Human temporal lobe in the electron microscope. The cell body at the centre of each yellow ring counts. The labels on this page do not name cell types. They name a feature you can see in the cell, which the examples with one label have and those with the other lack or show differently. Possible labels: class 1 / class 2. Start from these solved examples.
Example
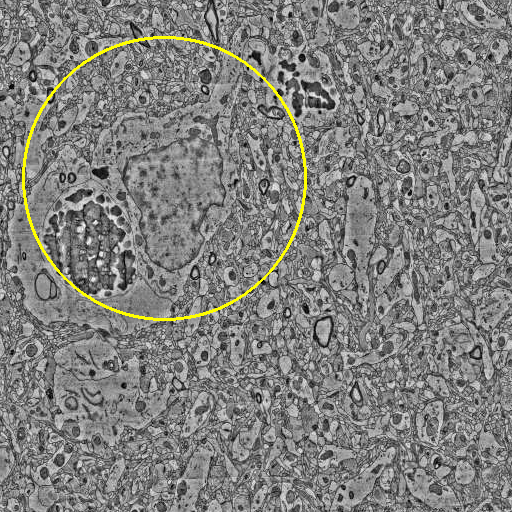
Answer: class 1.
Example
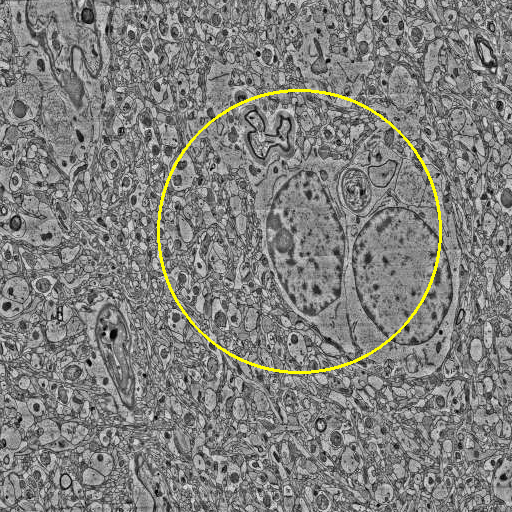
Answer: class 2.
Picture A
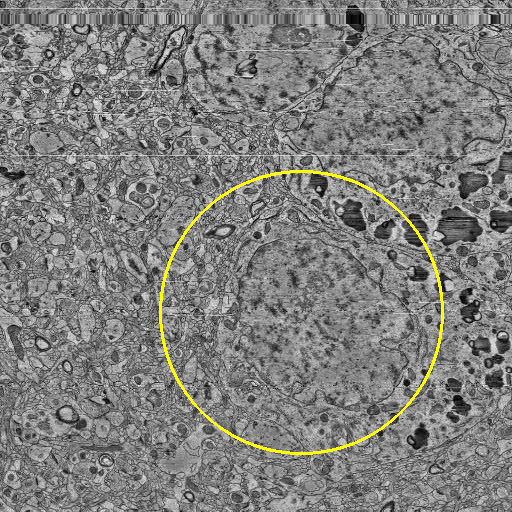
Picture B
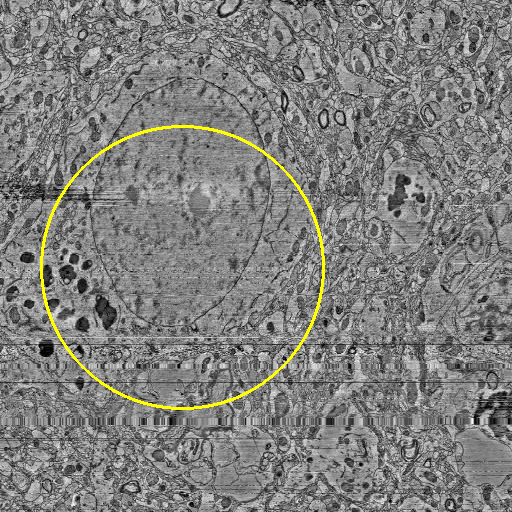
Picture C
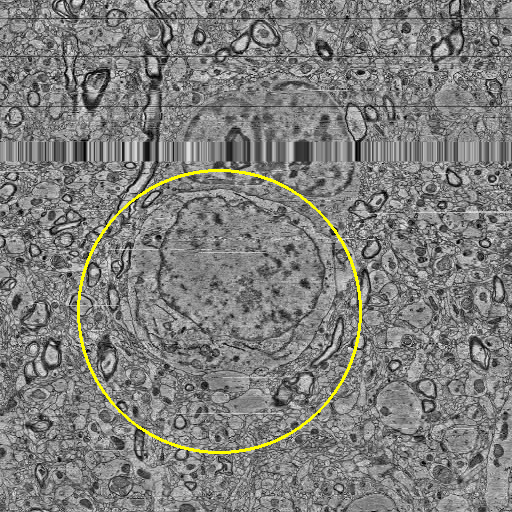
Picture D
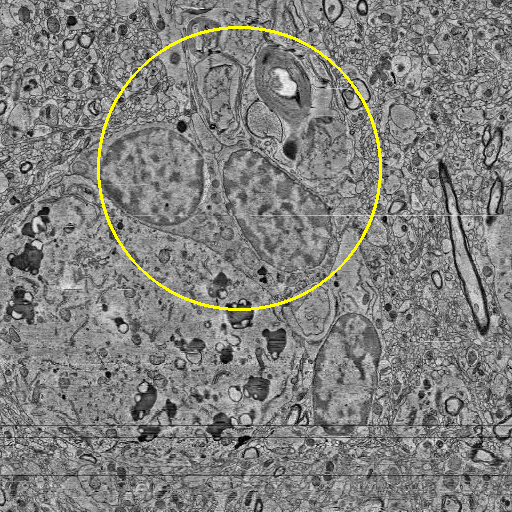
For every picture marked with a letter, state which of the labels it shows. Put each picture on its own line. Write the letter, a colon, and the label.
A: class 1.
B: class 2.
C: class 1.
D: class 1.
